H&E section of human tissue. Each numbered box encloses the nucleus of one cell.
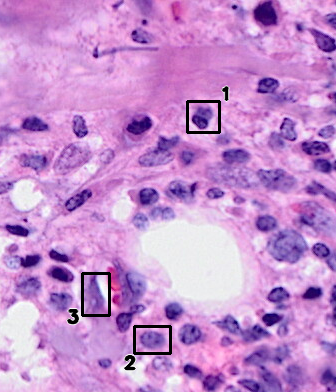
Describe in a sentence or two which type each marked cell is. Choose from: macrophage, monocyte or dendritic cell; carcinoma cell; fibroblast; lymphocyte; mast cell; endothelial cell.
Cell 1 is a lymphocyte, cell 2 is a mast cell and cell 3 is an endothelial cell.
